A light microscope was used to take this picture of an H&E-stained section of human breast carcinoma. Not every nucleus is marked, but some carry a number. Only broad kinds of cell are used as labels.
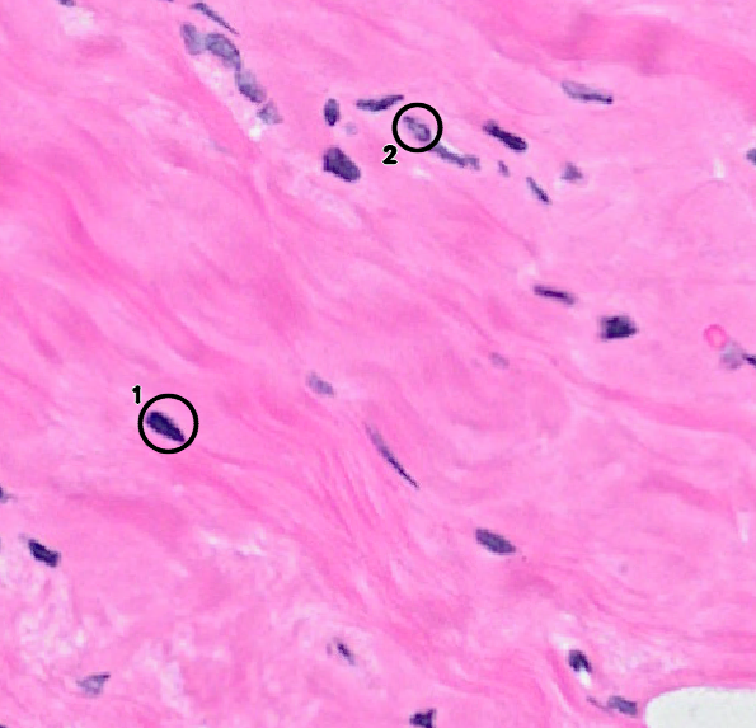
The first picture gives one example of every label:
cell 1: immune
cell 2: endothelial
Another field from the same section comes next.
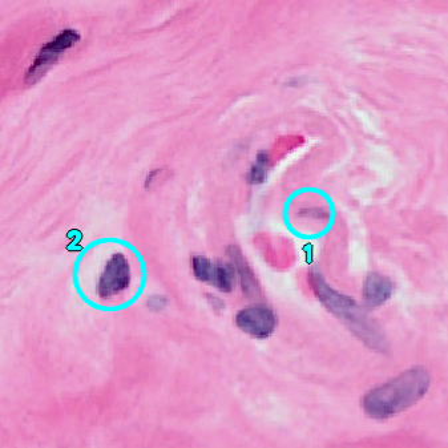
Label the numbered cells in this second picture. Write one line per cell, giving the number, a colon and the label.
1: endothelial
2: immune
